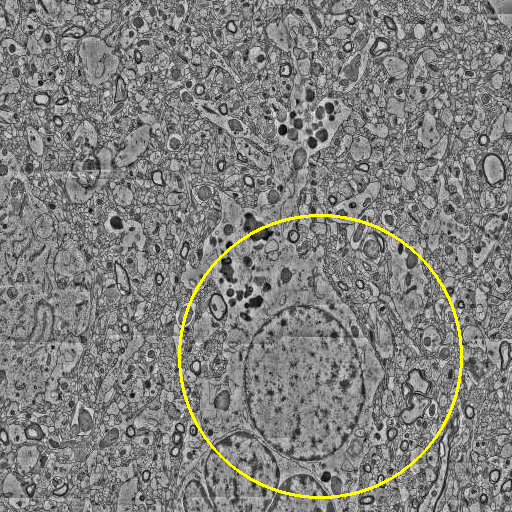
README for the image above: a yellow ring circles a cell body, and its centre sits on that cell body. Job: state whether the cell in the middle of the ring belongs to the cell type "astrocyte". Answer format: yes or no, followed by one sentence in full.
Yes, the cell sitting in the middle of the ring in the image belongs to that type.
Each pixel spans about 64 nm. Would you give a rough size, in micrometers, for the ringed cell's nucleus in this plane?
In this plane the nucleus spans approximately 10 by 8 micrometers.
